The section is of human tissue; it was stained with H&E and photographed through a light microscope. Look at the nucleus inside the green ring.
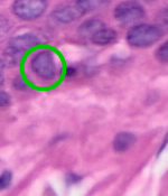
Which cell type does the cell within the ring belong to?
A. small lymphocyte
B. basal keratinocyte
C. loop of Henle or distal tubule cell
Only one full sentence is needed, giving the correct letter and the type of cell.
Option B is correct here; the cell within the ring is a basal keratinocyte.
